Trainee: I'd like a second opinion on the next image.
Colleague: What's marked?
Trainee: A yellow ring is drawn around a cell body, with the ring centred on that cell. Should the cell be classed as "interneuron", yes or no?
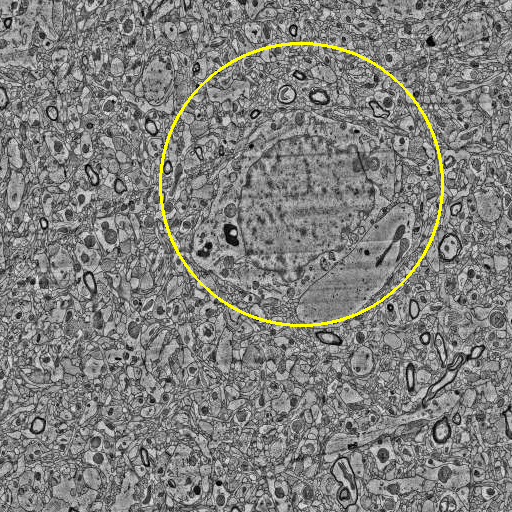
Yes, it should.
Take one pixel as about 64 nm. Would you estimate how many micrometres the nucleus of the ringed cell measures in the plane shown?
The nucleus comes to roughly 10 by 8 micrometres in this plane.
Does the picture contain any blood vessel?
No, no vessel shows anywhere in the image.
